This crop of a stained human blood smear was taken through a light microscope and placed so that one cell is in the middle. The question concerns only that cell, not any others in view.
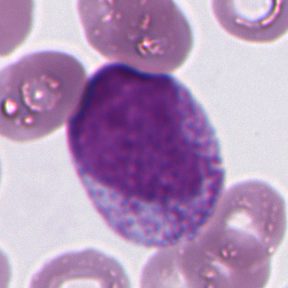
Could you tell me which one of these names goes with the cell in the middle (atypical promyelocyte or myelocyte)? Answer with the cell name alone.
myelocyte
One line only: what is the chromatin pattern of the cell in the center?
Check the chromatin: it is fine and not coarsely clumped.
